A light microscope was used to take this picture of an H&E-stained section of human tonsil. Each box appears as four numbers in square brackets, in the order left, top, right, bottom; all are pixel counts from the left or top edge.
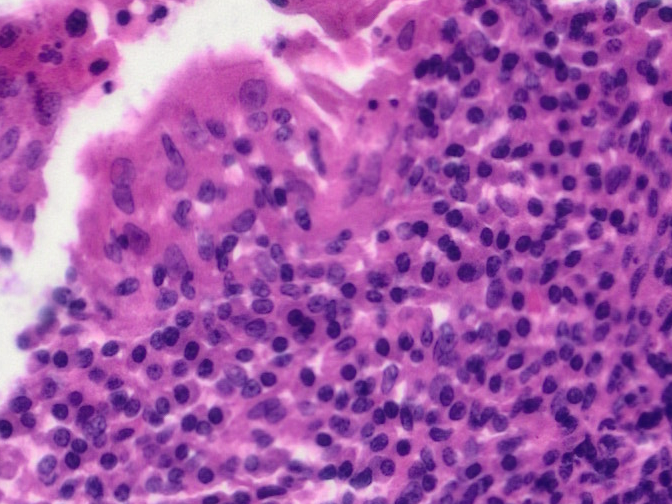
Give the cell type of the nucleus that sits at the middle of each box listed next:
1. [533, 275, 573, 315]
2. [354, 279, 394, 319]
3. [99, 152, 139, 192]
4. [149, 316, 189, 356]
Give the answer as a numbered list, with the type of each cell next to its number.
1. plasma cell
2. plasma cell
3. squamous epithelial cell
4. plasma cell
